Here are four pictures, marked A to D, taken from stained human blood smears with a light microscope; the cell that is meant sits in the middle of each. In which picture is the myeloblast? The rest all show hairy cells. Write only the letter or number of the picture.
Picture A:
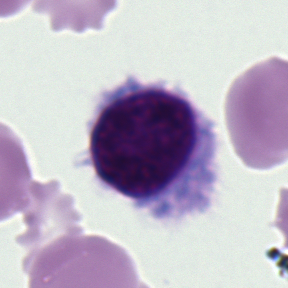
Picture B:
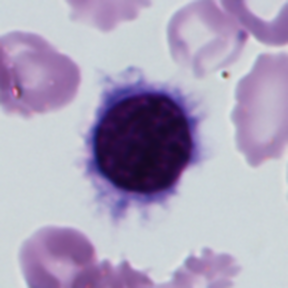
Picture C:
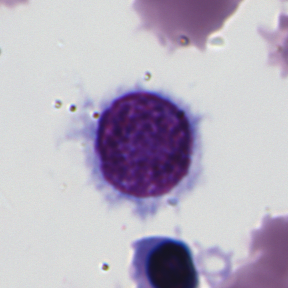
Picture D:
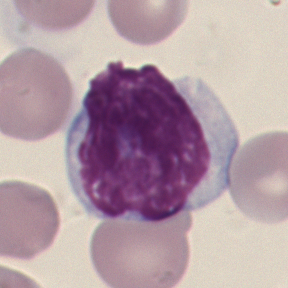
D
